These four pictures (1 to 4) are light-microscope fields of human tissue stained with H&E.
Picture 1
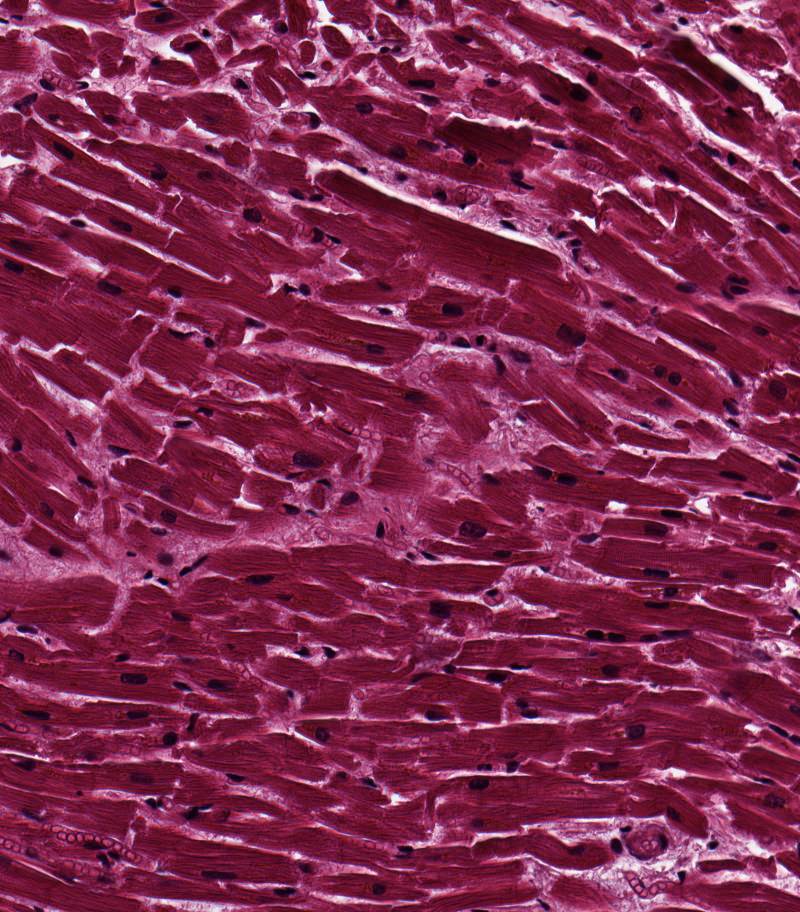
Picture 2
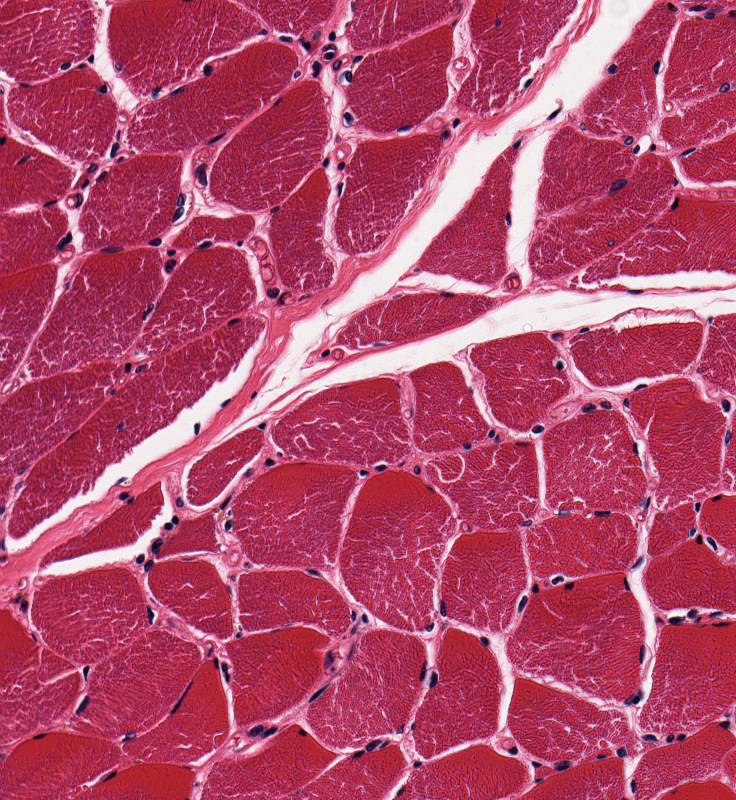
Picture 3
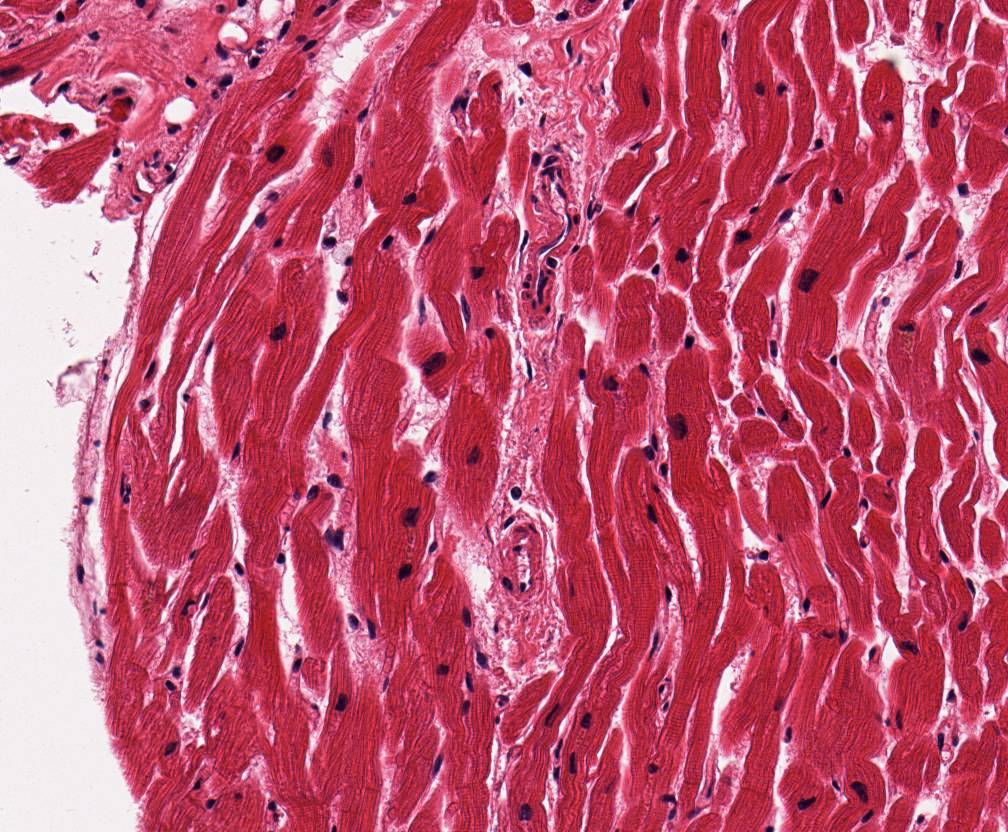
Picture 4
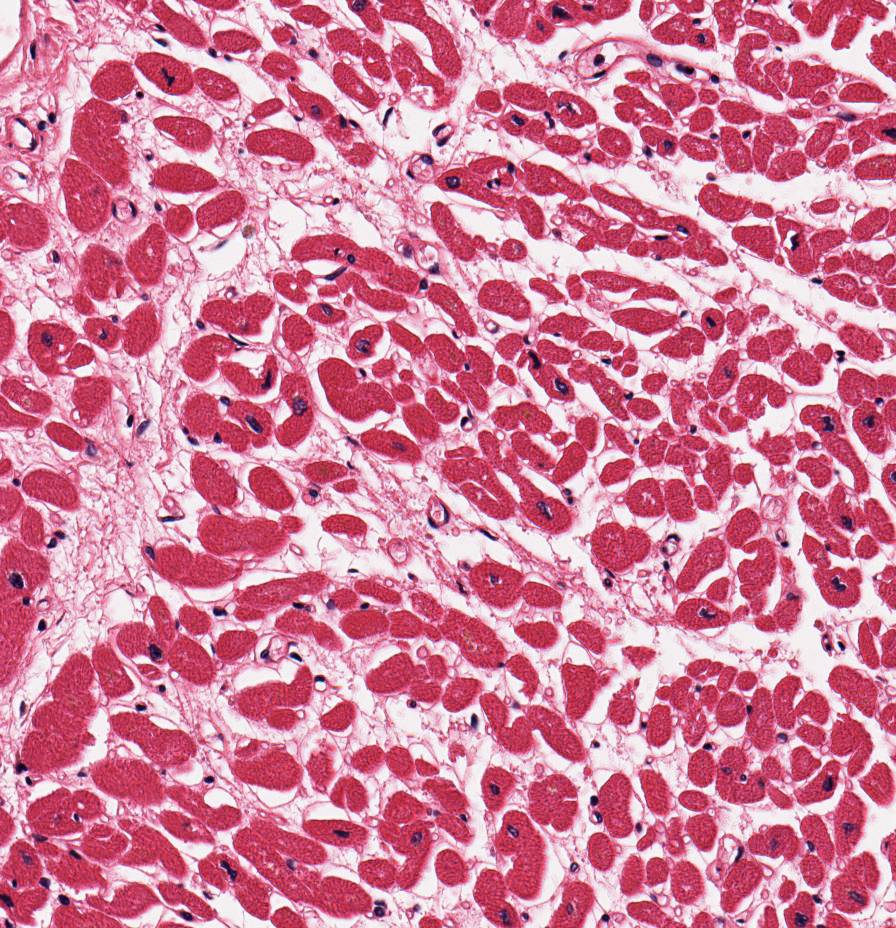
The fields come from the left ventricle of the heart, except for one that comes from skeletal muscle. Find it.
2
